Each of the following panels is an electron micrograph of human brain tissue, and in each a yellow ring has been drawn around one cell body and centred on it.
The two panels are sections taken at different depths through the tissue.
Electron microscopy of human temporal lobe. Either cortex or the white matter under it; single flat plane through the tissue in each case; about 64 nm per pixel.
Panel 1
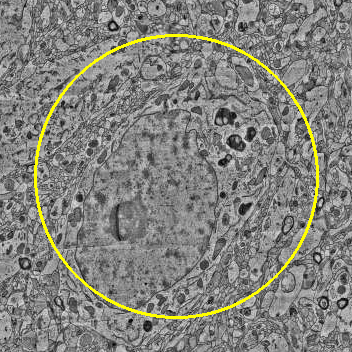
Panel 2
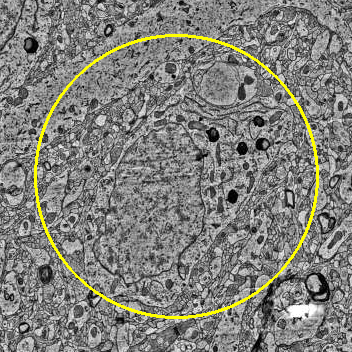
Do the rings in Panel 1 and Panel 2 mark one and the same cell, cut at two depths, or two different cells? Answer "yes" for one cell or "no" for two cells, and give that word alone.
yes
